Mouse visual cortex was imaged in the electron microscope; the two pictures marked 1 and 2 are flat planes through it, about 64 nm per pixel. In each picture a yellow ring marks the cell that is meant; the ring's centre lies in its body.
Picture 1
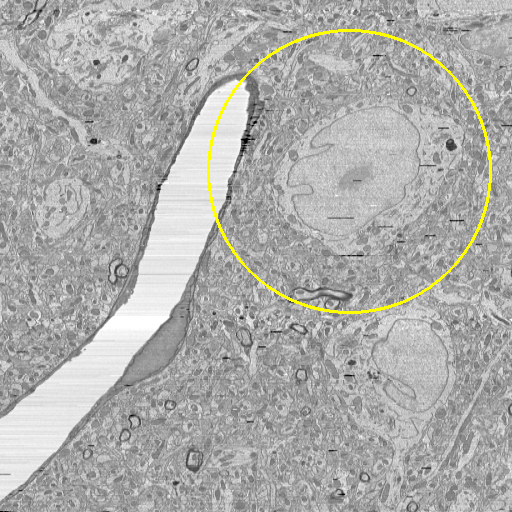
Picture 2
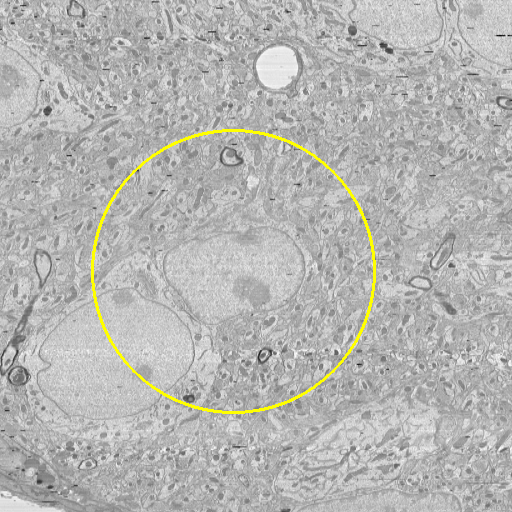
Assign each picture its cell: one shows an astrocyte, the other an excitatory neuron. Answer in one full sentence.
Picture 2 shows an astrocyte, while picture 1 shows an excitatory neuron.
